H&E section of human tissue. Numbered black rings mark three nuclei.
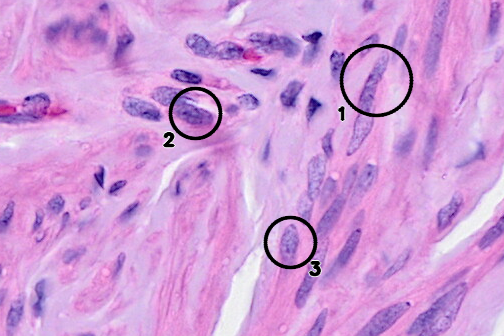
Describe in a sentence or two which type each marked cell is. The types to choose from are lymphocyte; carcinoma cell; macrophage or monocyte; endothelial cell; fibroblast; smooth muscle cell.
Cell 1 is a smooth muscle cell, cell 2 is an endothelial cell and cell 3 is a smooth muscle cell.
